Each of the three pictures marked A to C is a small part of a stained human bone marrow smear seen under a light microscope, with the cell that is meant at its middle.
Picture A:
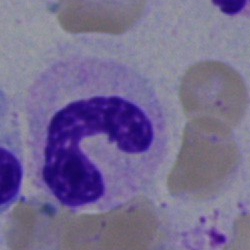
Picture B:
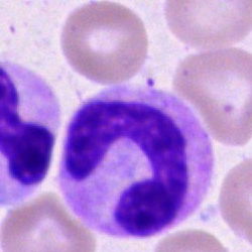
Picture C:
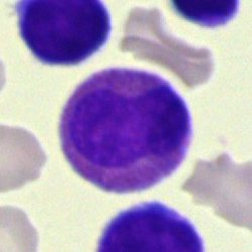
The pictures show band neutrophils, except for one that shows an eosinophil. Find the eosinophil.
C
